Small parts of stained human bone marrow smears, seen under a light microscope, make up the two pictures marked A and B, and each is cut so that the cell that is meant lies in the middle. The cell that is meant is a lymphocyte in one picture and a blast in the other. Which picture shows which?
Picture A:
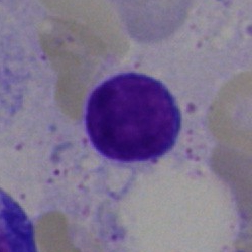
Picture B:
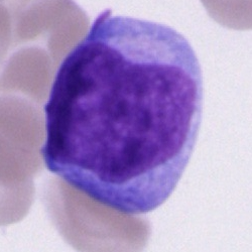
A: lymphocyte
B: blast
